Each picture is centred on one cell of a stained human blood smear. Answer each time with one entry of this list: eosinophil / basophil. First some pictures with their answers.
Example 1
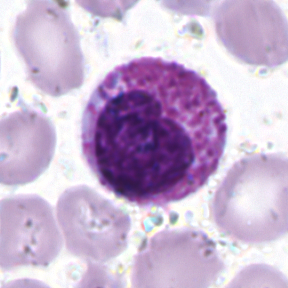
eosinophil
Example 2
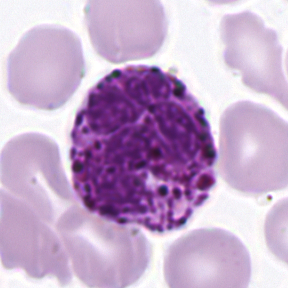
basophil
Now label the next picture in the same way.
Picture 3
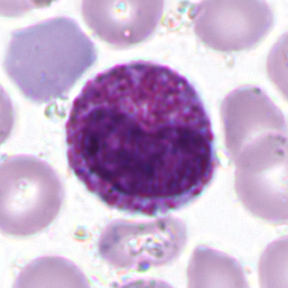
eosinophil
